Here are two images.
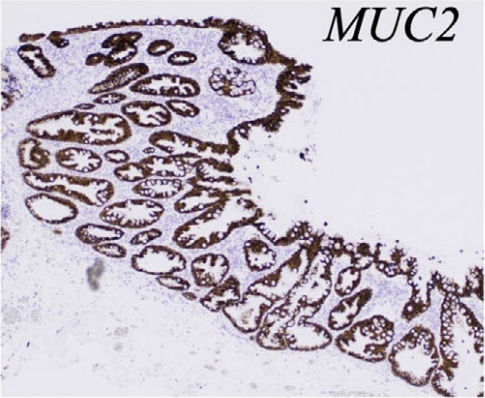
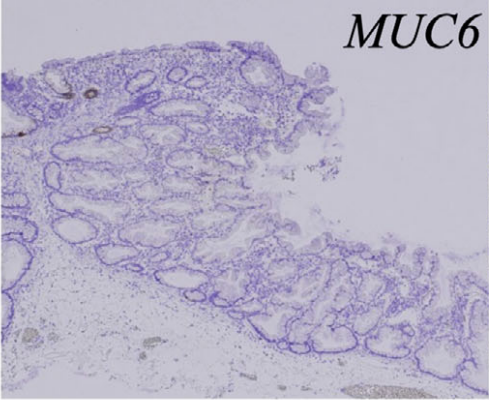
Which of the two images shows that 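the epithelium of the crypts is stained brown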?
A: the first image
